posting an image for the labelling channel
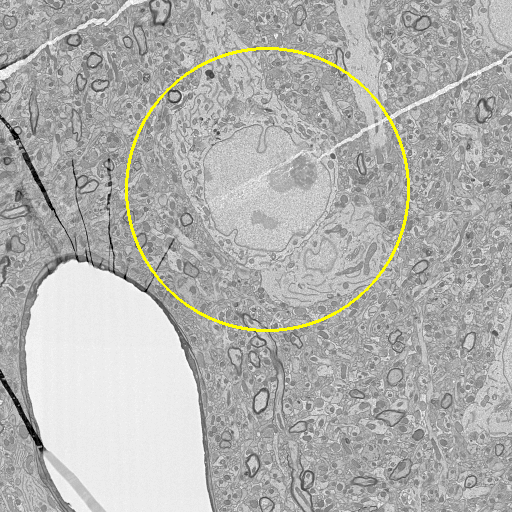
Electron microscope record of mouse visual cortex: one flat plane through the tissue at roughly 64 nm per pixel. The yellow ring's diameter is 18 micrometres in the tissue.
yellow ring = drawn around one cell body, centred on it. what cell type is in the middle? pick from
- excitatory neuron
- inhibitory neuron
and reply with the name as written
inhibitory neuron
